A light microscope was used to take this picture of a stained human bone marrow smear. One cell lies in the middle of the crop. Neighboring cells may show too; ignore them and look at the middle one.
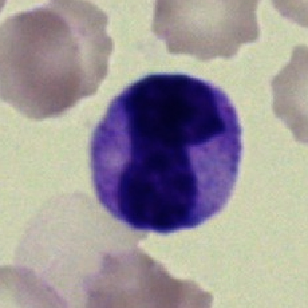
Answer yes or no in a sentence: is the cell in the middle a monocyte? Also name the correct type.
No, the centre of the crop is taken up by a band neutrophil, not a monocyte.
